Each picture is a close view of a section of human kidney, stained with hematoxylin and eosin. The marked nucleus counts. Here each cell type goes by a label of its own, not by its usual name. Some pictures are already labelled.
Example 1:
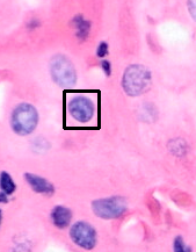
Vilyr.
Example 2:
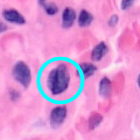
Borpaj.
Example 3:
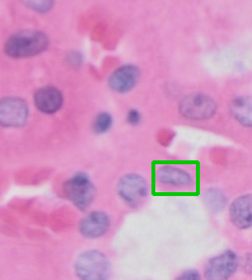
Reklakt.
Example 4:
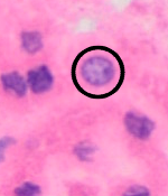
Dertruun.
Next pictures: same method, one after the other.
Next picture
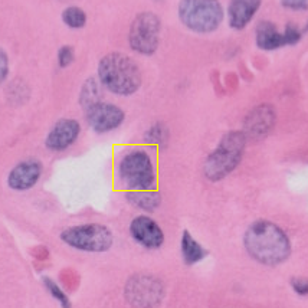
Vilyr.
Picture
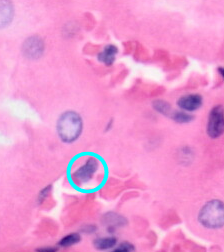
Borpaj.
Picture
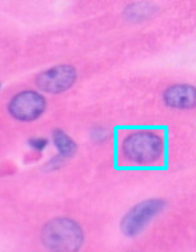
Dertruun.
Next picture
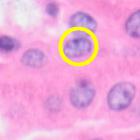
Vilyr.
